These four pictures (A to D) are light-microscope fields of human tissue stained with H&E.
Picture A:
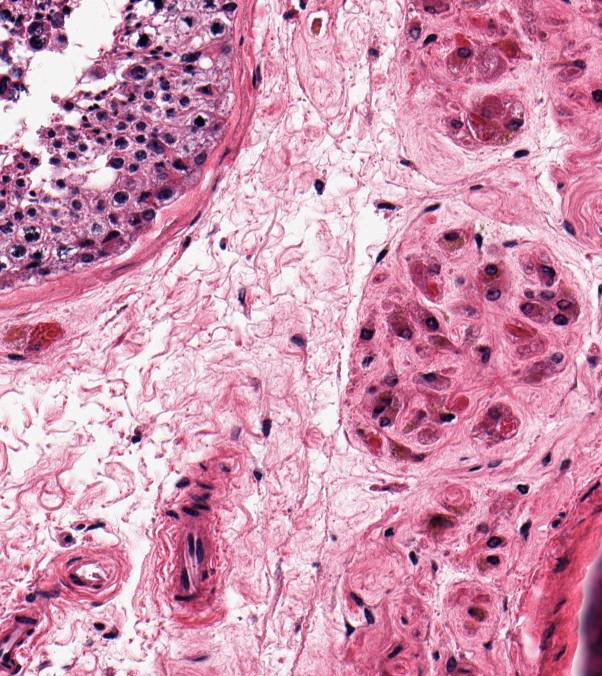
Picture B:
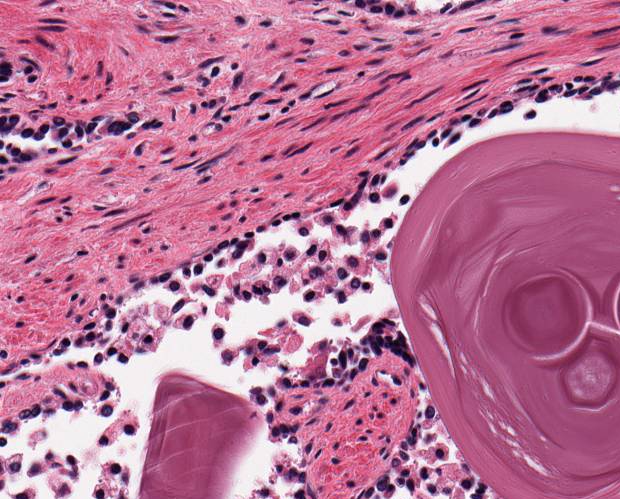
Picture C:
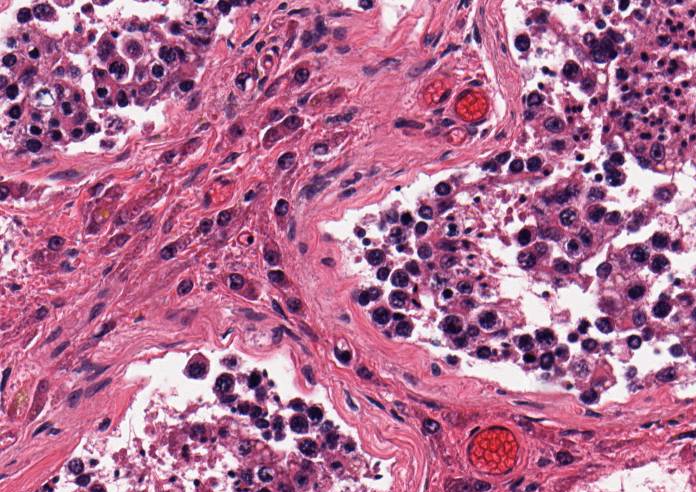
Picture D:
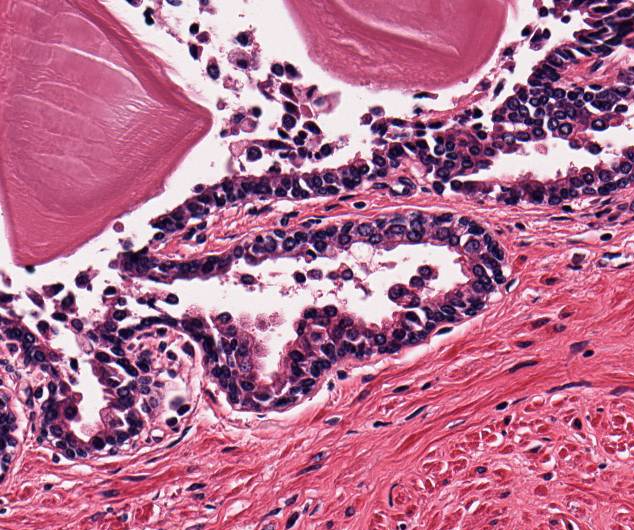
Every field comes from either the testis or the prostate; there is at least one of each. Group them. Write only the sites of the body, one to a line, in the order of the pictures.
testis
prostate
testis
prostate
